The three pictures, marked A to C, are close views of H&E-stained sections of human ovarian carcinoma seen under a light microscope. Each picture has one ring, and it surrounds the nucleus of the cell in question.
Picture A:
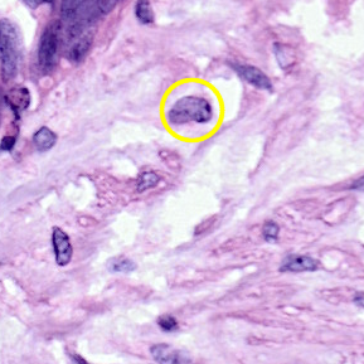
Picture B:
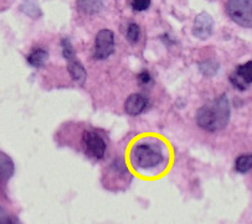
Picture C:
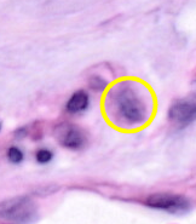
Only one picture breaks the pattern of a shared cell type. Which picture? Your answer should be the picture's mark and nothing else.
C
